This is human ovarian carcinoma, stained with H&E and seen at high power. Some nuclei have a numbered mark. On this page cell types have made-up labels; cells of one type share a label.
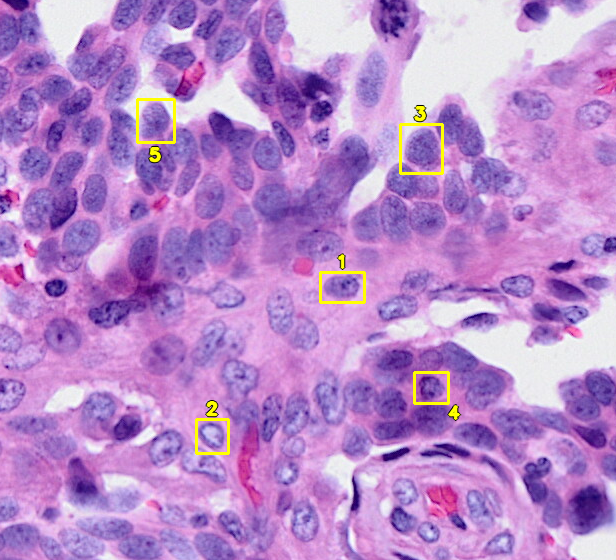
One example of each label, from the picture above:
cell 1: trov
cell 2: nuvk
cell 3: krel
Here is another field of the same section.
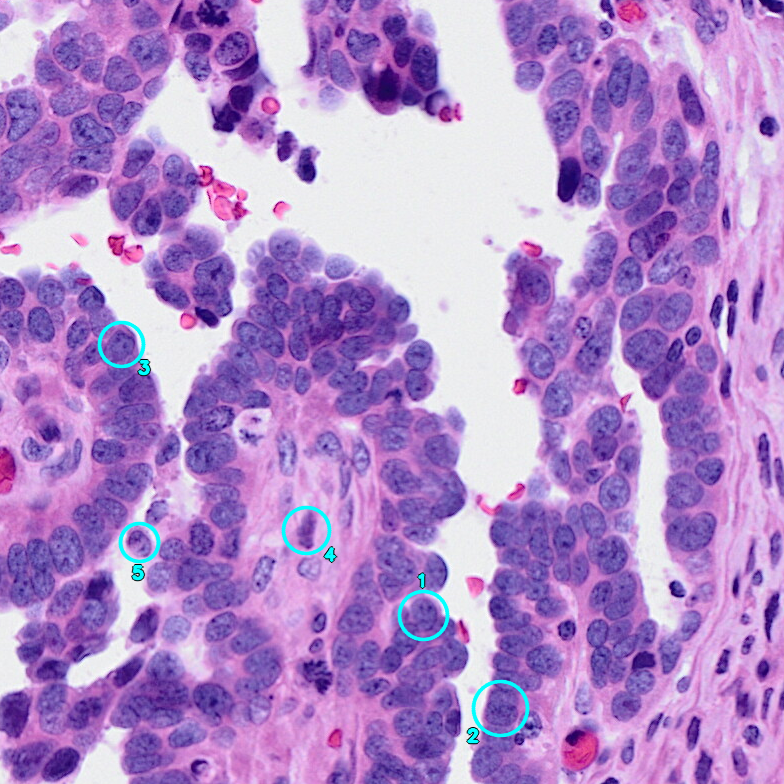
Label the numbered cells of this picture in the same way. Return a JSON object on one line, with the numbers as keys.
{"1": "krel", "2": "krel", "3": "krel", "4": "nuvk", "5": "trov"}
